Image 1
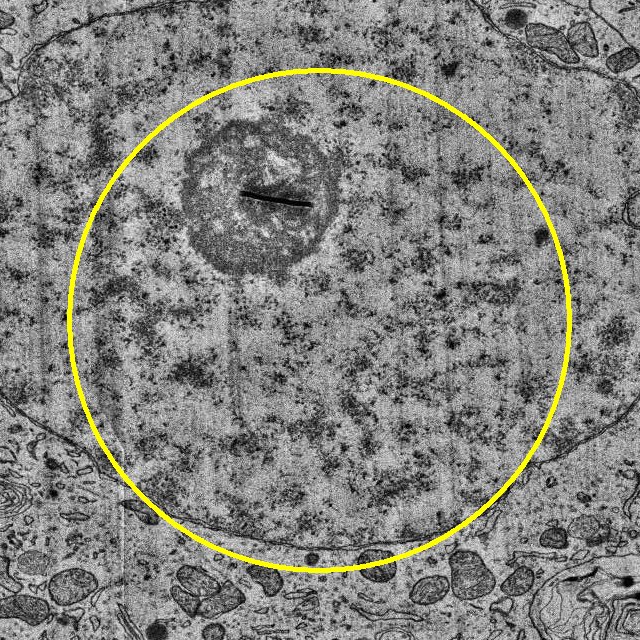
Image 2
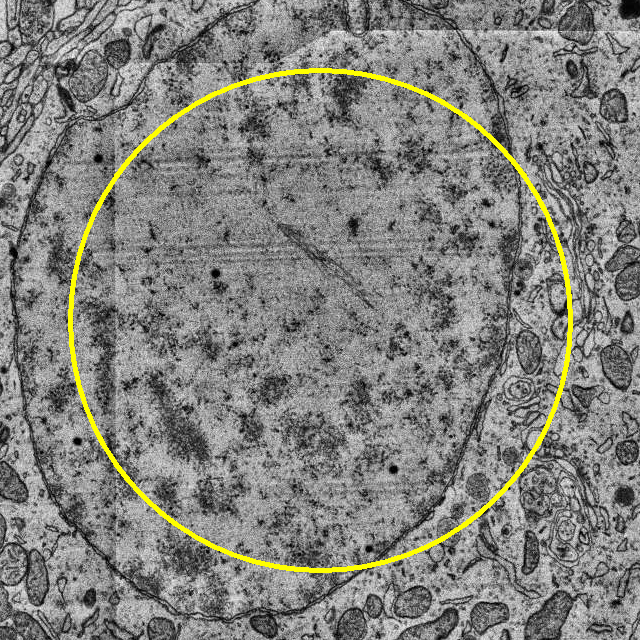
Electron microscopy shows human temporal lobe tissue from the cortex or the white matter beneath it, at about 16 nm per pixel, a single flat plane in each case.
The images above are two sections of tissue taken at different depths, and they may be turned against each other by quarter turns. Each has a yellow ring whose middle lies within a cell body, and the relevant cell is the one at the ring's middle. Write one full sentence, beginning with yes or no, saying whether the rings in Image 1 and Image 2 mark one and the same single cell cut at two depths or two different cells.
Yes, the same cell appears within both yellow rings.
